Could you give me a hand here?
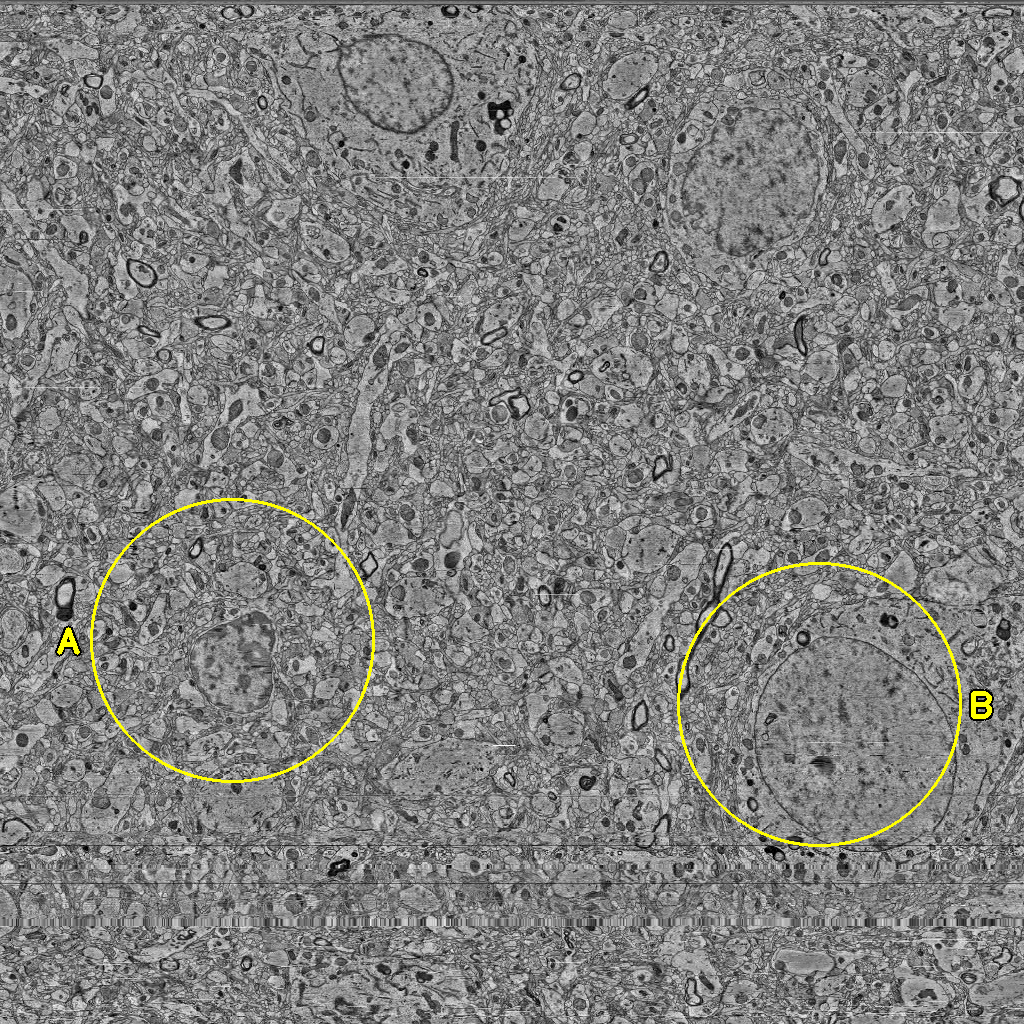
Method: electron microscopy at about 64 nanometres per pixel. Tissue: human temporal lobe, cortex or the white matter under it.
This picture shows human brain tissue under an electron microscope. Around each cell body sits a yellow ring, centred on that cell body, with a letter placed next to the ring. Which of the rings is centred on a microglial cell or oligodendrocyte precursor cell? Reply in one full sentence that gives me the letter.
The cell asked for sits at the centre of ring A in the picture.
